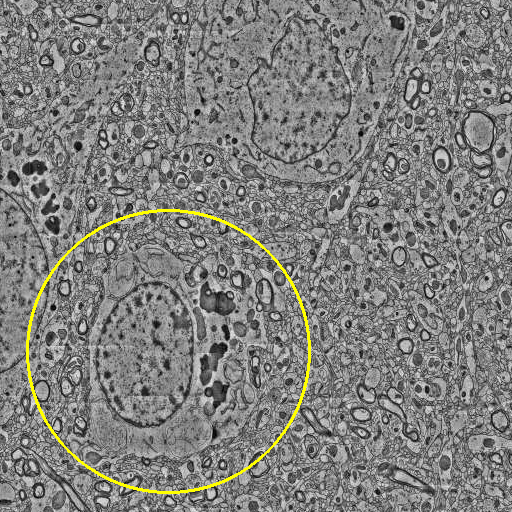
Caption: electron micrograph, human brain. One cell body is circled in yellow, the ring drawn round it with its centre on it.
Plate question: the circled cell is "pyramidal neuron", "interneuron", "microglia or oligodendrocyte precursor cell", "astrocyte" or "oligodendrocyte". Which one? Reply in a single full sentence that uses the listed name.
The yellow ring on the plate is centred on an astrocyte, going by the listed names.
